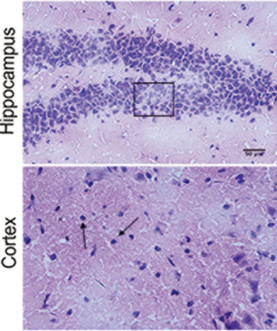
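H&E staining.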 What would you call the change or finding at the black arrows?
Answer: Nucleus shrinkage.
